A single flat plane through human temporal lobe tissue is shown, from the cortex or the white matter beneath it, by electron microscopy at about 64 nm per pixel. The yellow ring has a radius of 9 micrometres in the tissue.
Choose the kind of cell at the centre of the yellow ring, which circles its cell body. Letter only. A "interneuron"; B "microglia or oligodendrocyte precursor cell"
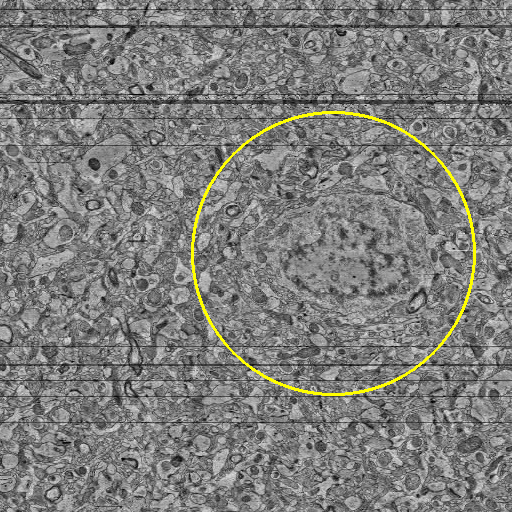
A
